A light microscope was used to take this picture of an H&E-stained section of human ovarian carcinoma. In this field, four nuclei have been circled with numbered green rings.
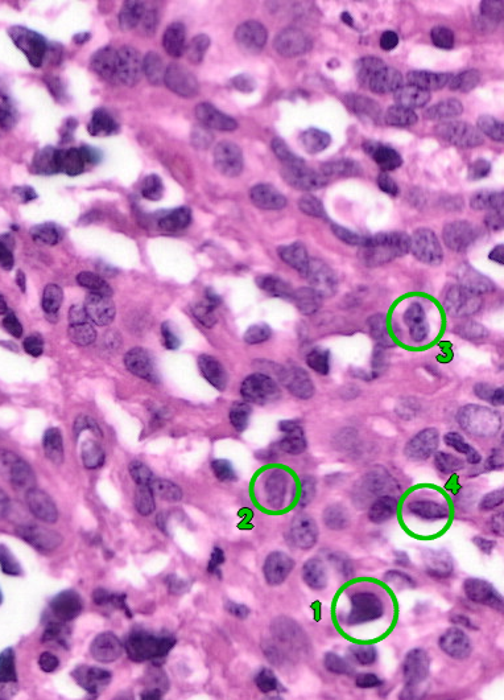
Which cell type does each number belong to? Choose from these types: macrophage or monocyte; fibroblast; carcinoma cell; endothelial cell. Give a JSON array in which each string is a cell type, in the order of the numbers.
["carcinoma cell", "carcinoma cell", "macrophage or monocyte", "carcinoma cell"]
